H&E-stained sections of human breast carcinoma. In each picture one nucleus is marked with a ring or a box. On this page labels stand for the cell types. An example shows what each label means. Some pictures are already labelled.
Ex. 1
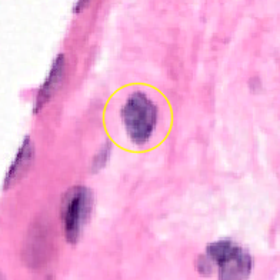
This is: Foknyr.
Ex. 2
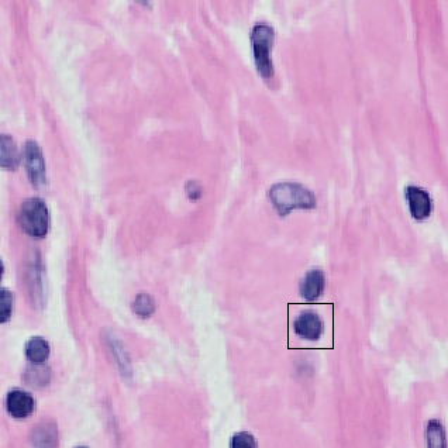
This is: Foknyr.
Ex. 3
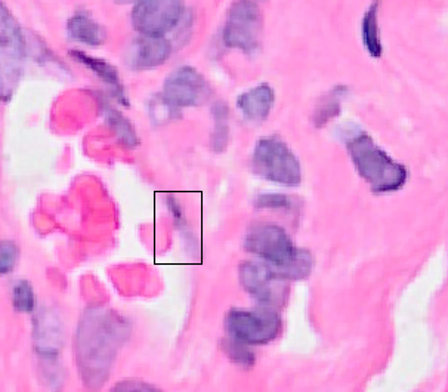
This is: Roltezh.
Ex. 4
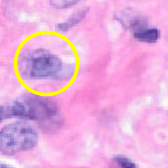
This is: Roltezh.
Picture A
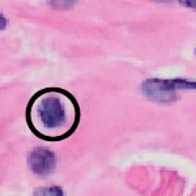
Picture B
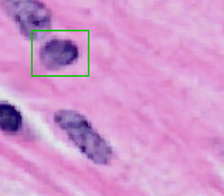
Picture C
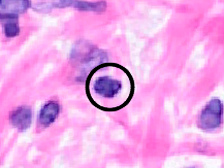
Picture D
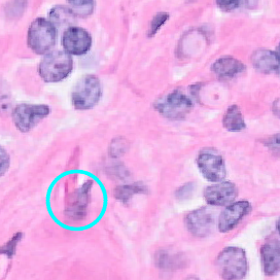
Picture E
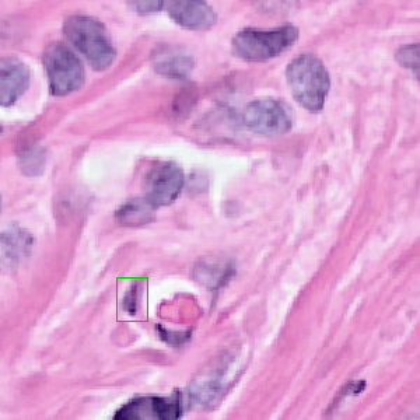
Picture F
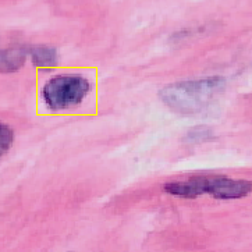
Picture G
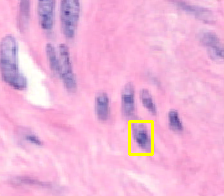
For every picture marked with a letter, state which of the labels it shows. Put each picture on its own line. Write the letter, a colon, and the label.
A: Foknyr.
B: Foknyr.
C: Foknyr.
D: Roltezh.
E: Roltezh.
F: Foknyr.
G: Roltezh.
